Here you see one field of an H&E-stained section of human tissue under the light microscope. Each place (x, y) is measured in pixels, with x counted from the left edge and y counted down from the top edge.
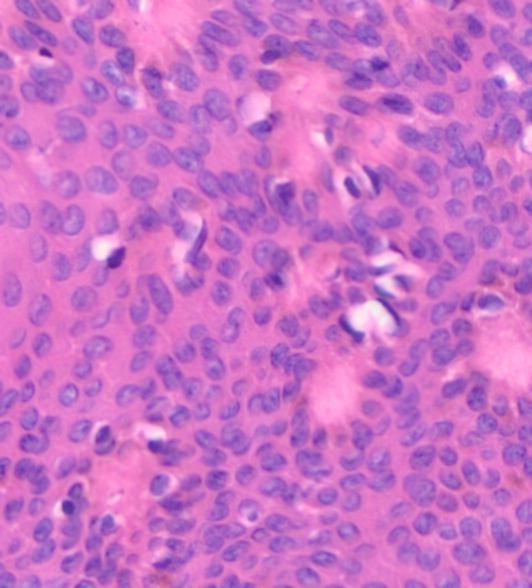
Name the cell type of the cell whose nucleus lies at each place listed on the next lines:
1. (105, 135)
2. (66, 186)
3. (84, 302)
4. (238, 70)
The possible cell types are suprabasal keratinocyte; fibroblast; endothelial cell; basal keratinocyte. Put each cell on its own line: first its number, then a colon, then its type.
1: suprabasal keratinocyte
2: suprabasal keratinocyte
3: suprabasal keratinocyte
4: basal keratinocyte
